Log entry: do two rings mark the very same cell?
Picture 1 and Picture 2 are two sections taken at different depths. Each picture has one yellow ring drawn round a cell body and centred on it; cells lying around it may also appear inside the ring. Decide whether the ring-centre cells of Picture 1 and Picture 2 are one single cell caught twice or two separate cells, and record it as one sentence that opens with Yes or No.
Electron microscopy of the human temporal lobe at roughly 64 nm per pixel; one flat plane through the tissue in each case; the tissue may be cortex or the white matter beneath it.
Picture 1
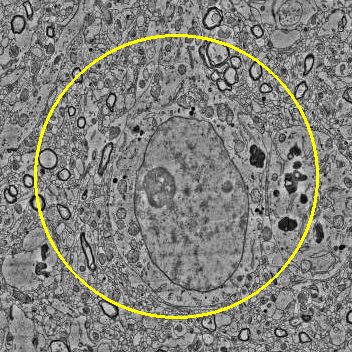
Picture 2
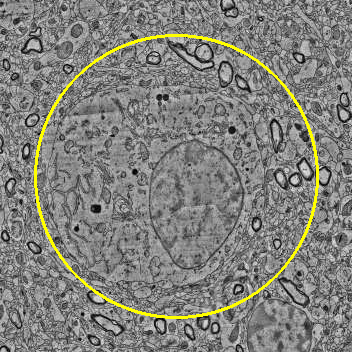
No, the two yellow rings correspond to two separate cells.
